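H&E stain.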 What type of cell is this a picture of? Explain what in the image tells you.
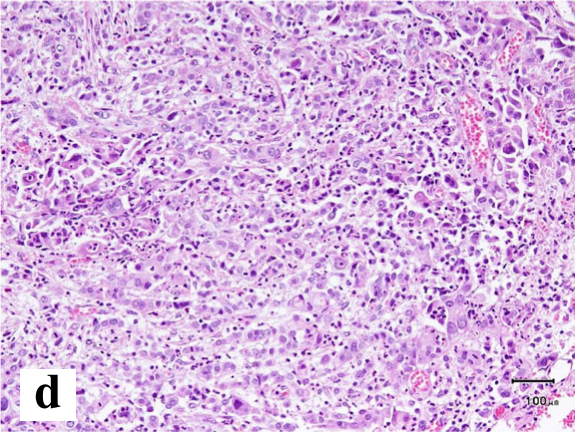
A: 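Tumor cells. Cells are large with abundant pink cytoplasm. Nuclei vary widely in size and shape, many dark and irregular. Cells lie in disordered sheets without normal glandular arrangement.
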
